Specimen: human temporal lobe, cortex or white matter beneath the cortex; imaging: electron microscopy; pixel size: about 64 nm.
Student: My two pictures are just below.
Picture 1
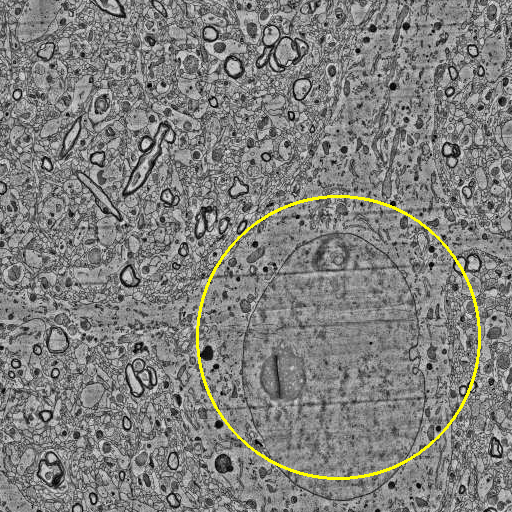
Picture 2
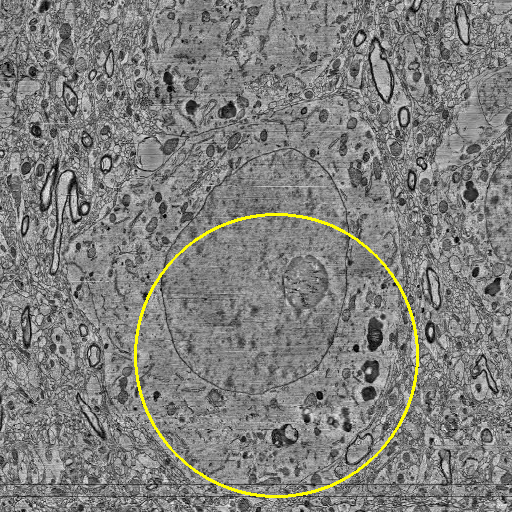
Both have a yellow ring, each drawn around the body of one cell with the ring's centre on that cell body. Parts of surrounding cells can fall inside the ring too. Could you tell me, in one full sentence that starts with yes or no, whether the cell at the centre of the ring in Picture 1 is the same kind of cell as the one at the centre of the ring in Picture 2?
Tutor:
Yes, the two cells are of the same kind.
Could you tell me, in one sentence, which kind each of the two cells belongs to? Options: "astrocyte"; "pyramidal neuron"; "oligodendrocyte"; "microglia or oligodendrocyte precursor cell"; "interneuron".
The cell in the first picture is a pyramidal neuron, and so is the one in the second.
